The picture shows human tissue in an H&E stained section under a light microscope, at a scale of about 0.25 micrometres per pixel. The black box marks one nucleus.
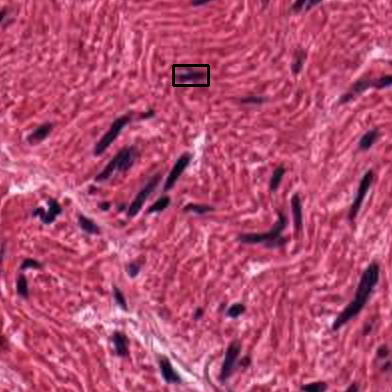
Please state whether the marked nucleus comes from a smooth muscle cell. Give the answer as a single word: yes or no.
yes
